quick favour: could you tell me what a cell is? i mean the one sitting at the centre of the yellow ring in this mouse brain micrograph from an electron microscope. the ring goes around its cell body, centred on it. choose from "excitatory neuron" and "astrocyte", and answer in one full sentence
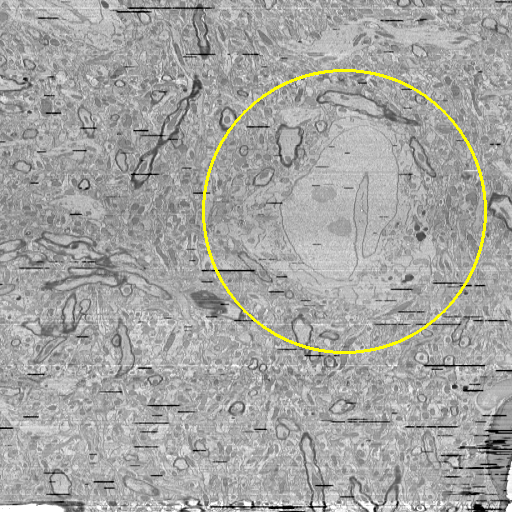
That's an excitatory neuron, the cell sitting at the centre of the yellow ring.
